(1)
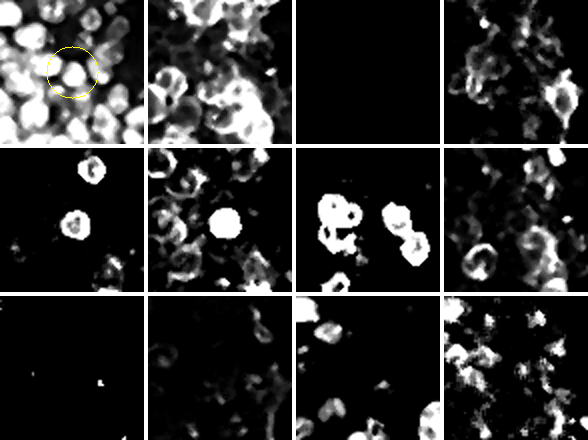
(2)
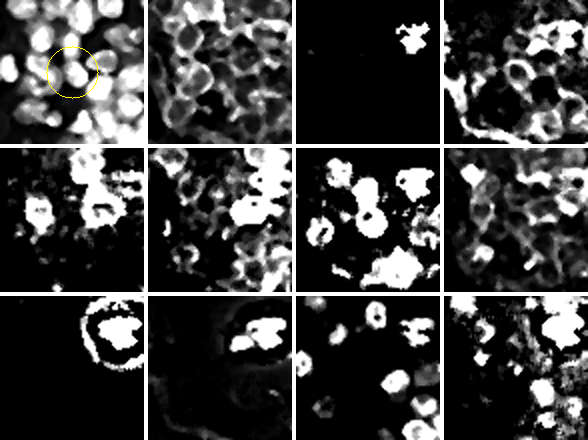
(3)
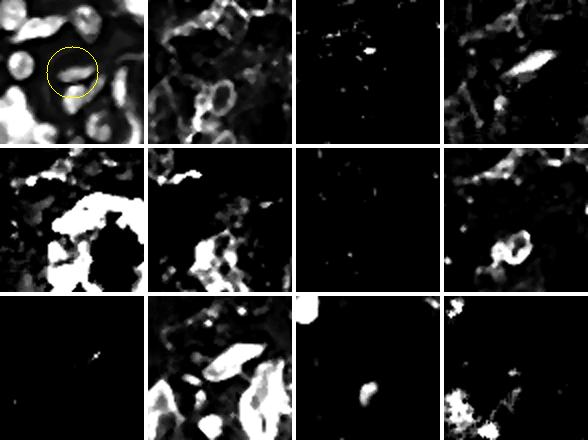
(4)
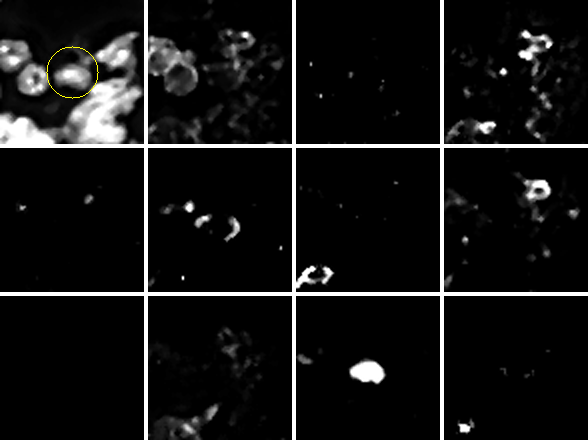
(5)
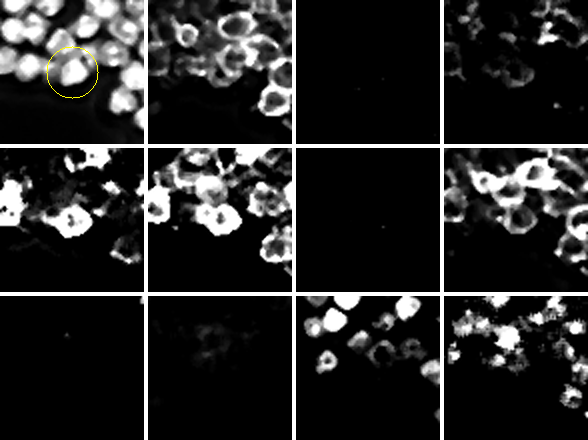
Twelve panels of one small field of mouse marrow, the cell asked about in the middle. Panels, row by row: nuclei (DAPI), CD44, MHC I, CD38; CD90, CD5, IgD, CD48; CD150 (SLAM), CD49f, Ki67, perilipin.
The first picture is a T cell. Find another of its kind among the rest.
Picture 5.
